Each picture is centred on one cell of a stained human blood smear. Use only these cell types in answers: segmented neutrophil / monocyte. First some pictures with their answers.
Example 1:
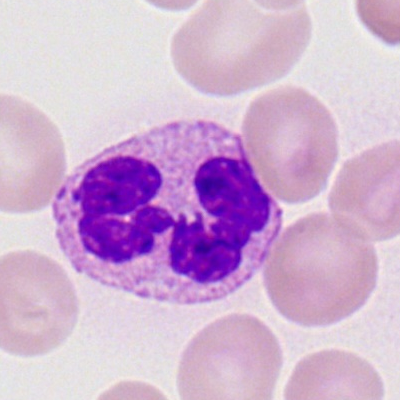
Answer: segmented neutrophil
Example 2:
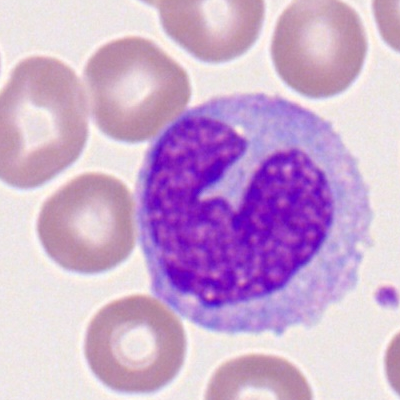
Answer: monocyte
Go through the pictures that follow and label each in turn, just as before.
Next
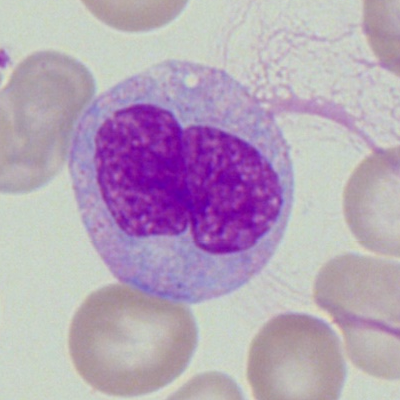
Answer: monocyte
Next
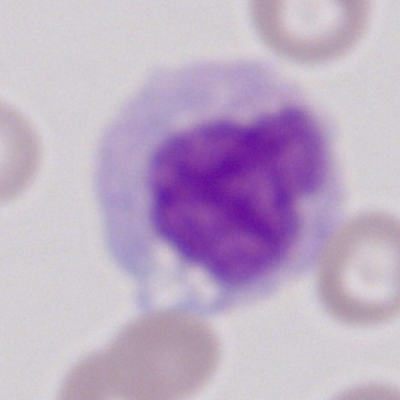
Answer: monocyte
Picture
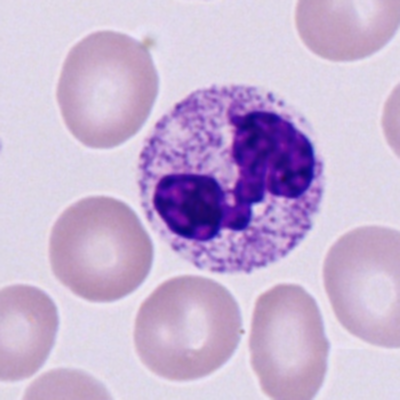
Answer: segmented neutrophil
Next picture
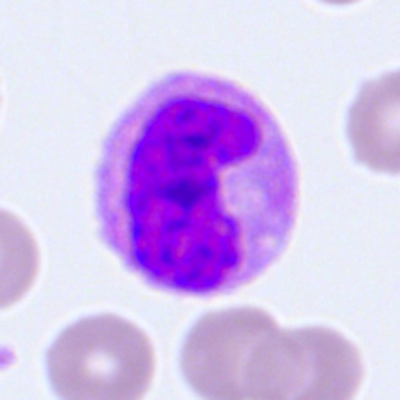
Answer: monocyte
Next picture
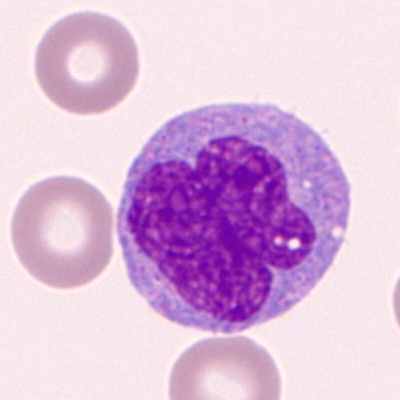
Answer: monocyte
